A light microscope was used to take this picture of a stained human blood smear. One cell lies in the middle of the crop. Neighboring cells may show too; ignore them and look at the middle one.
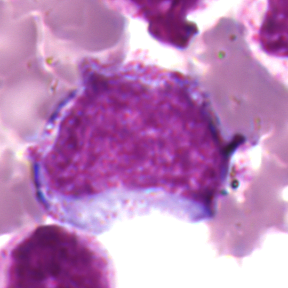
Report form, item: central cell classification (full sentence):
The cell positioned in the middle of the field is a promyelocyte.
